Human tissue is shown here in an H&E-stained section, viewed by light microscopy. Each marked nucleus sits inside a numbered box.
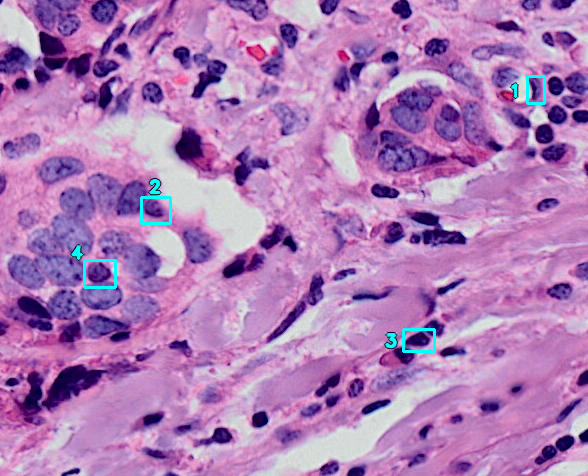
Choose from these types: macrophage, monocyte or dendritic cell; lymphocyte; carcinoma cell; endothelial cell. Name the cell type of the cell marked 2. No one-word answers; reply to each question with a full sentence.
The cell numbered 2 has been identified as a carcinoma cell.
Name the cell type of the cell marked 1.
The nucleus labelled 1 belongs to an endothelial cell.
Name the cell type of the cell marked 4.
The cell whose nucleus carries the number 4 is a carcinoma cell.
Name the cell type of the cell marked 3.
In this section, number 3 marks a lymphocyte.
